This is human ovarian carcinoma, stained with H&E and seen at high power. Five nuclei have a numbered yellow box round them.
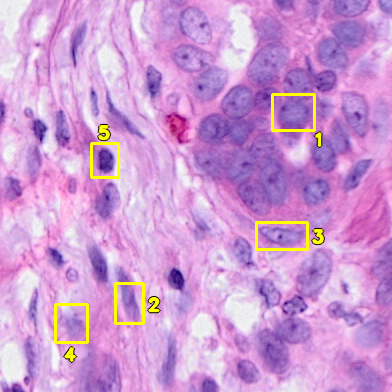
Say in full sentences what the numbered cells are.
Cell 1 is a carcinoma cell, cell 2 is a fibroblast, cell 3 is a fibroblast, cell 4 is a fibroblast and cell 5 is a lymphocyte.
